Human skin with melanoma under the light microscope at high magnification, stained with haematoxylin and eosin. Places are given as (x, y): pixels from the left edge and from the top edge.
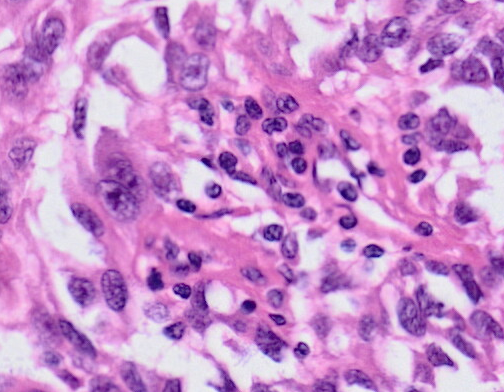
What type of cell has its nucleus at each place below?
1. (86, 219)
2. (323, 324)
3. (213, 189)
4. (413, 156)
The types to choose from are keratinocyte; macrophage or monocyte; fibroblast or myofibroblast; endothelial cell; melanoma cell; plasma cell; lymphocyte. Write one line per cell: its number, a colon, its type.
1: melanoma cell
2: melanoma cell
3: lymphocyte
4: lymphocyte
